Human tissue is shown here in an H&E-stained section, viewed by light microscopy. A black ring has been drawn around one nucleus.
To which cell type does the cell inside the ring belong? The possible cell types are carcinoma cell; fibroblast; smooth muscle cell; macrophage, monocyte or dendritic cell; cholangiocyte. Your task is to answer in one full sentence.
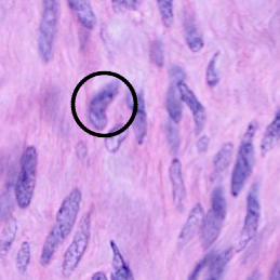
It is a smooth muscle cell that the cell inside the ring represents.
